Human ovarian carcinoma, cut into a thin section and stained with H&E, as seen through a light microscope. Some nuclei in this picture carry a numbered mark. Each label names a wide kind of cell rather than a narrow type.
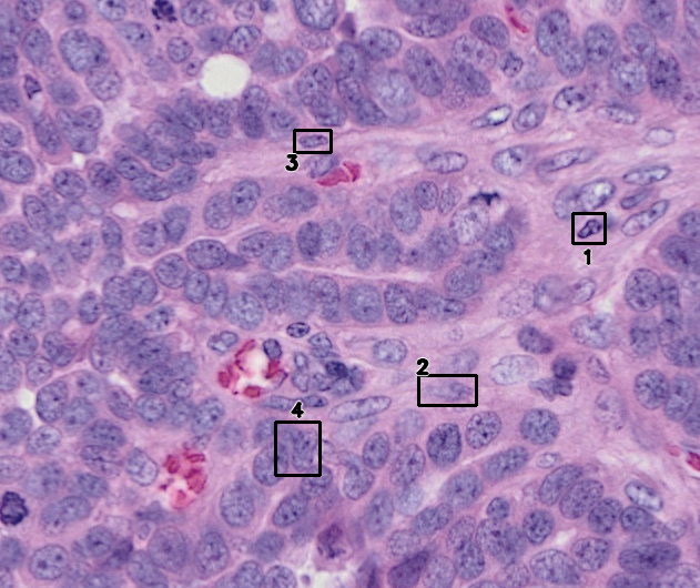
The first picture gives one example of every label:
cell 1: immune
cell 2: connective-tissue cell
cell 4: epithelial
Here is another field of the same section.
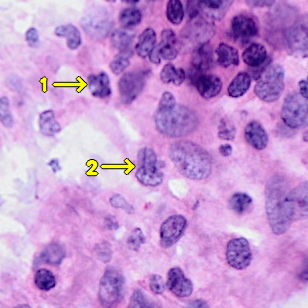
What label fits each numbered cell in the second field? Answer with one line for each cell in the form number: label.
1: immune
2: immune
